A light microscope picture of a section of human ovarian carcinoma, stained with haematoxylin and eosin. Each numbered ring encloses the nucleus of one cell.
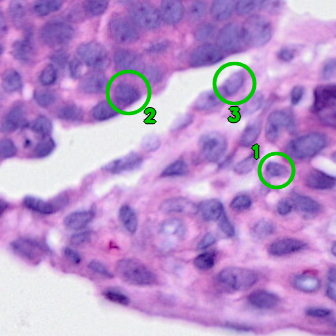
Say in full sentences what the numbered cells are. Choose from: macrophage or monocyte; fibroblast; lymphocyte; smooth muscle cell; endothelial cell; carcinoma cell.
Cell 1 is a macrophage or monocyte. Cells 2 and 3 are carcinoma cells.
